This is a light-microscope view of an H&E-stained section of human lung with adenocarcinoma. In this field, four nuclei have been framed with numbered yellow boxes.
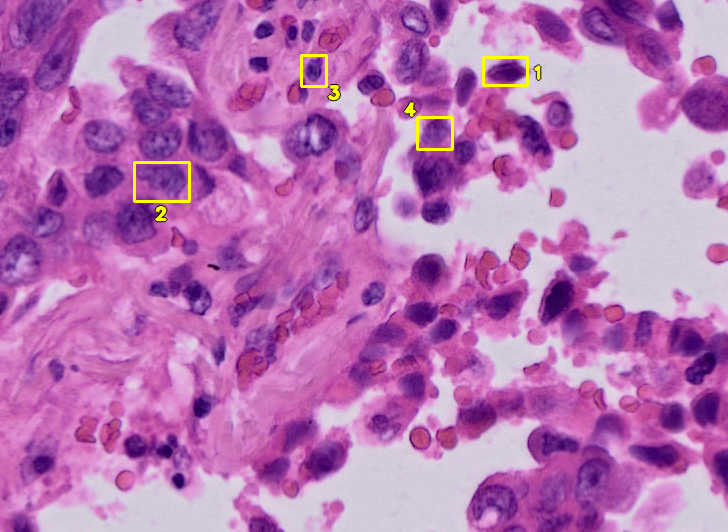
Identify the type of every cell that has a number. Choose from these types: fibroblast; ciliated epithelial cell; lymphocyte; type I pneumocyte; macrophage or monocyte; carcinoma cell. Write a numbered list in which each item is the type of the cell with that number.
1. carcinoma cell
2. carcinoma cell
3. lymphocyte
4. carcinoma cell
